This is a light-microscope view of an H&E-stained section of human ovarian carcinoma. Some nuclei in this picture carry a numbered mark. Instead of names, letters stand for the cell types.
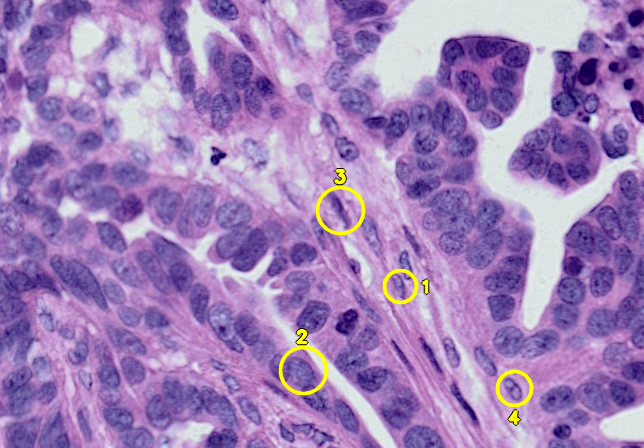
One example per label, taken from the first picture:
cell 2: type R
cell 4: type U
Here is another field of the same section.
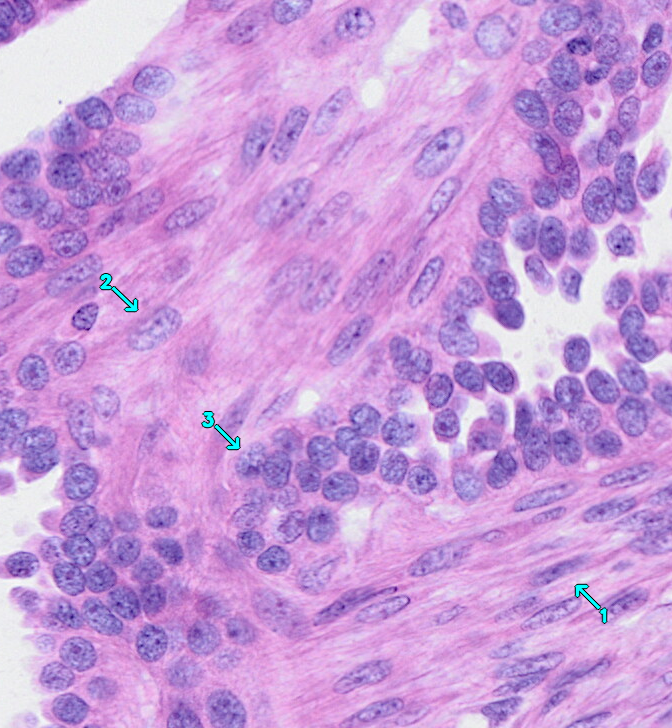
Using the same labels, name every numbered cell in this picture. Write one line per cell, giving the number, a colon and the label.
1: type U
2: type U
3: type R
